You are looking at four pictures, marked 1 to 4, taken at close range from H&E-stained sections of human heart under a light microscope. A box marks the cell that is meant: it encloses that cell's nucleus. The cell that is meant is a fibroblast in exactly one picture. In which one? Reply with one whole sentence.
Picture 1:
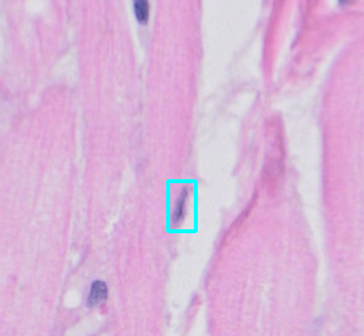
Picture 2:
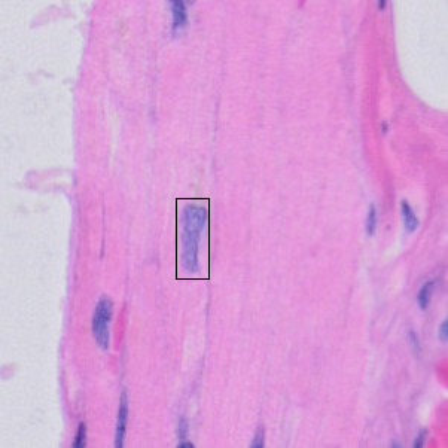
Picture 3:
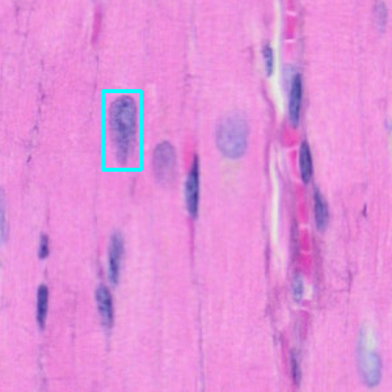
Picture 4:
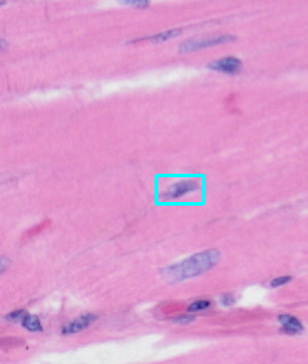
It is picture 1 that shows the fibroblast.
